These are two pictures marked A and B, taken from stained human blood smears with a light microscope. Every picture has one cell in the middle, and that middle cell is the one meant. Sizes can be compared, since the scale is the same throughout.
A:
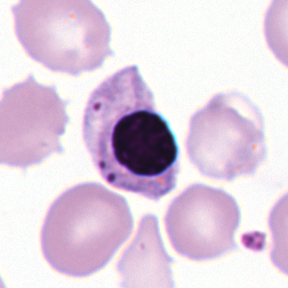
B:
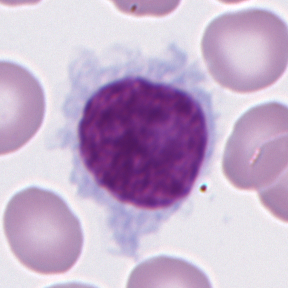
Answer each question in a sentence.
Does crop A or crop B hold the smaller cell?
The cell in crop A is smaller; the one in crop B has about 2.5 times its area.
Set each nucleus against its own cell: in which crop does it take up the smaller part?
It is the cell in crop A that is filled less by its nucleus.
